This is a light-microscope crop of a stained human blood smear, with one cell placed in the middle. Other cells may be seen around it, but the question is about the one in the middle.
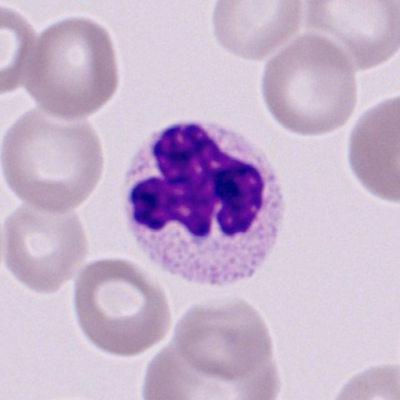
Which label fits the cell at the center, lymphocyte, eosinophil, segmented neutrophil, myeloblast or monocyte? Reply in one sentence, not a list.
The target cell in the middle of the crop is a segmented neutrophil.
